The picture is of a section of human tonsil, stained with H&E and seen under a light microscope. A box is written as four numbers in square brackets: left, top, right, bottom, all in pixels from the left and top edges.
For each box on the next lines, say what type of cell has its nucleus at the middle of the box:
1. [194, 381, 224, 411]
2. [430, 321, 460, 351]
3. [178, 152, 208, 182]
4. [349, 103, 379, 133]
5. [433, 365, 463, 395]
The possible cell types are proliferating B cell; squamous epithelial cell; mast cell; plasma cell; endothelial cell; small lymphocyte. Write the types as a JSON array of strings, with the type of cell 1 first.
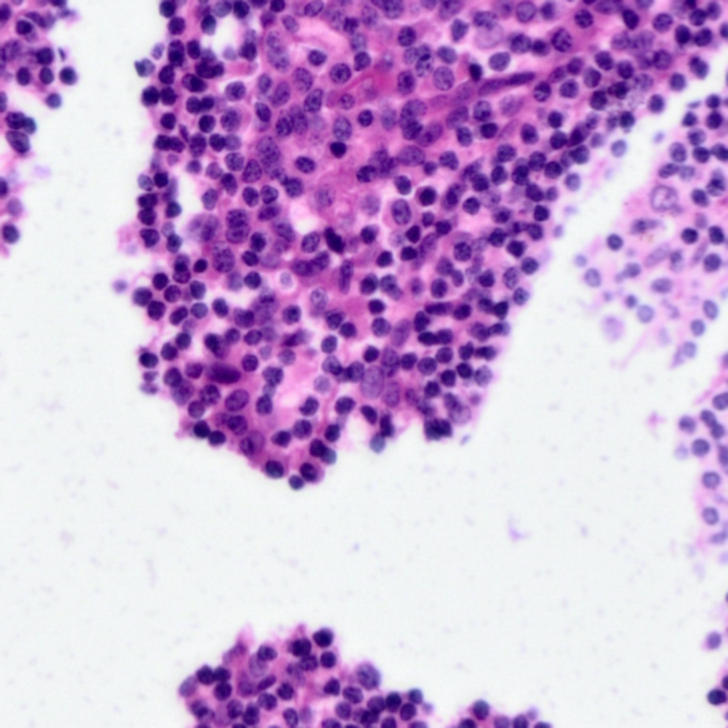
["plasma cell", "small lymphocyte", "small lymphocyte", "plasma cell", "small lymphocyte"]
